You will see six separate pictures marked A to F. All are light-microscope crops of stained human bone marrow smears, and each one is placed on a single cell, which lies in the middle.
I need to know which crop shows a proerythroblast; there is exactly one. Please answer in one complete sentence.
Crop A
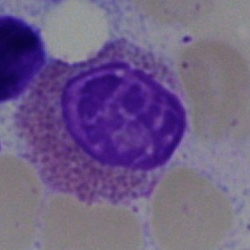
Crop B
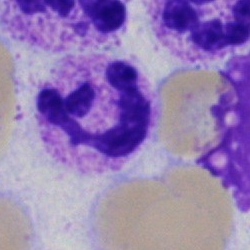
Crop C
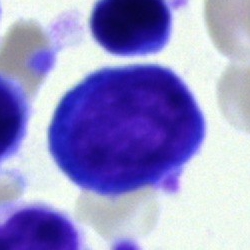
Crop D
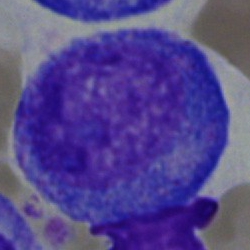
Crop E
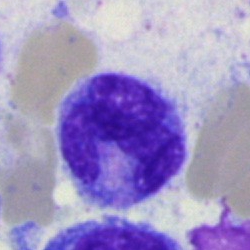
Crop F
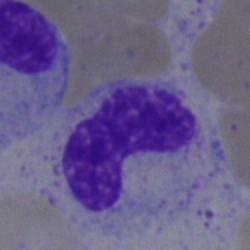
Crop C matches the request, showing a proerythroblast.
